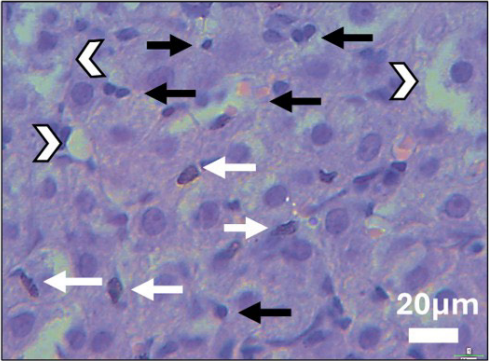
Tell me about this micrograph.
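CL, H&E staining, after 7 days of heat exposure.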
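Luteal cells fill the field as large polygonal cells with pale pink-purple cytoplasm and round, pale central nuclei. Clear unstained spaces open between many of the cells, and scattered among them lie small cells with dark, shrunken, condensed nuclei and small dense dark bodies.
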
